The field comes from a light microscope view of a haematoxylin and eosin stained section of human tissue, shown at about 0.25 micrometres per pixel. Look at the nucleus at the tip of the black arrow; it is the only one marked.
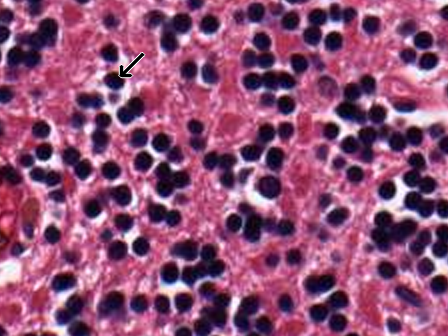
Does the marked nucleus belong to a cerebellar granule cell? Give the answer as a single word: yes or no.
yes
